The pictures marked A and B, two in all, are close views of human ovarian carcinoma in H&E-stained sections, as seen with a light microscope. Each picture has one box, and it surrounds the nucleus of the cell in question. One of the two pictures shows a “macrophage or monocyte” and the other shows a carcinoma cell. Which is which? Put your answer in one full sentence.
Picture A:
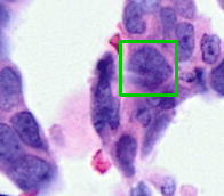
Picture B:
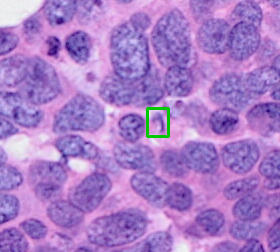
Picture B shows a “macrophage or monocyte”, while picture A shows a carcinoma cell.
